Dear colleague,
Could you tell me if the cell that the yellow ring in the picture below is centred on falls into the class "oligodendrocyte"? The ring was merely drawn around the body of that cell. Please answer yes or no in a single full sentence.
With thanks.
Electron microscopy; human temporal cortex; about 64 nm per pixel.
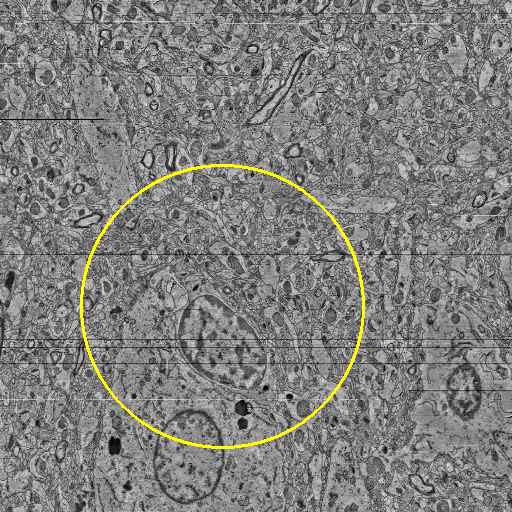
No, the cell on which the ring in your picture is centred falls into a different class.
